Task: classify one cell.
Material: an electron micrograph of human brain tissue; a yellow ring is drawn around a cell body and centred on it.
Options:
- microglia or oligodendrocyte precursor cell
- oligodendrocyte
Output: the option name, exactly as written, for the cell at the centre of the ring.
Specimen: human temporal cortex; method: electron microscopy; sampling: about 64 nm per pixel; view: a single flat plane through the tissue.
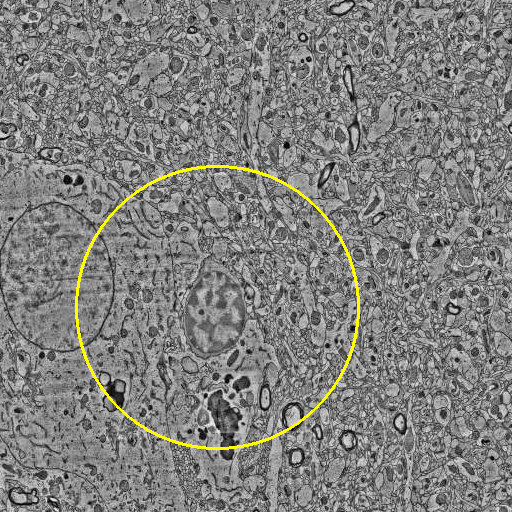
oligodendrocyte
